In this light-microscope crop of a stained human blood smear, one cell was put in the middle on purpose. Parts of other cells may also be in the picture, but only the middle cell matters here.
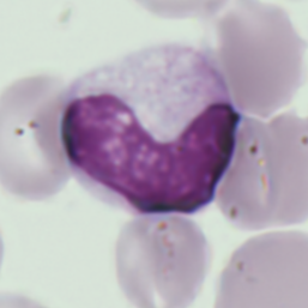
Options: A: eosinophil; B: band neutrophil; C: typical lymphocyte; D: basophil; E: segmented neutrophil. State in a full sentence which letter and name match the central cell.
Option B holds up: the cell in the middle is a band neutrophil.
